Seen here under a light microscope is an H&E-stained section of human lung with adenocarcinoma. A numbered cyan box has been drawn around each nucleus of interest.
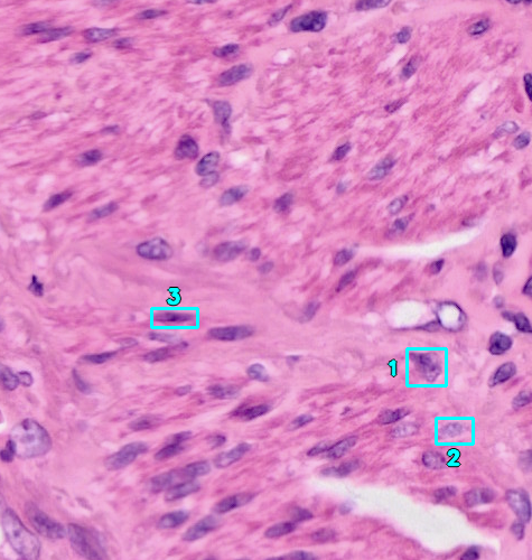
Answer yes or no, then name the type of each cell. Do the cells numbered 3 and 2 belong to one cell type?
Yes, both are smooth muscle cells or pericytes.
